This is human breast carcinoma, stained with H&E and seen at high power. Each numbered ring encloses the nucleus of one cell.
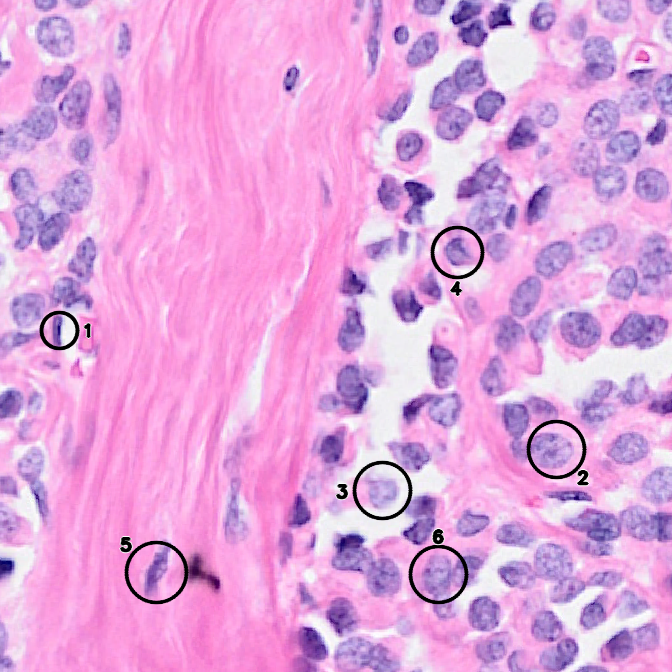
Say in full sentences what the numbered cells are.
Cell 1 is an endothelial cell. Cells 2, 3, 4 and 6 are carcinoma cells. Cell 5 is a fibroblast.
